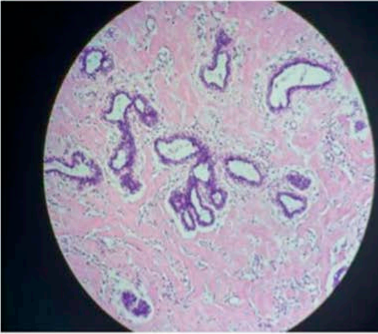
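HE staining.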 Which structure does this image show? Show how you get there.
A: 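Irregular fissure-like spaces. Numerous narrow, slit-like clear spaces run between the pink collagen bundles.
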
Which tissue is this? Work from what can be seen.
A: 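Most of the field is pink, eosinophilic fibrous tissue between the purple-lined glandular structures. The pink tissue is sparsely cellular.
Hence: dense collagen stroma.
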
